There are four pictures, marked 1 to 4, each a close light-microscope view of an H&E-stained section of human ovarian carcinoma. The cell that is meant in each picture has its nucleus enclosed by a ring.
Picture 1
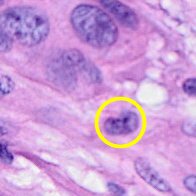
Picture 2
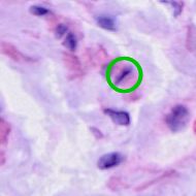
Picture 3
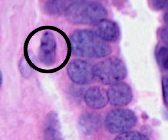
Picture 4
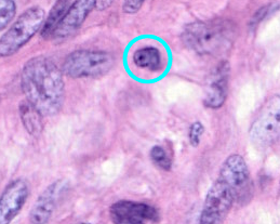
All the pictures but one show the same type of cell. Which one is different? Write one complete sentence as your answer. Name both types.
The others show “macrophages or monocytes”, but picture 2 shows a smooth muscle cell.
